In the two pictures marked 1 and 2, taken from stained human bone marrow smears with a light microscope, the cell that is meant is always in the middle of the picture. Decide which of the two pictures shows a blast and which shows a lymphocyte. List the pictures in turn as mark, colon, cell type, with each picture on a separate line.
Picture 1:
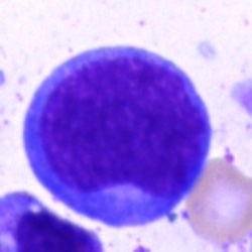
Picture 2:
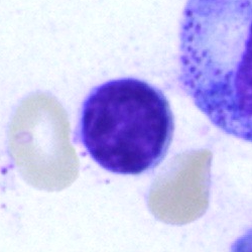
1: blast
2: lymphocyte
